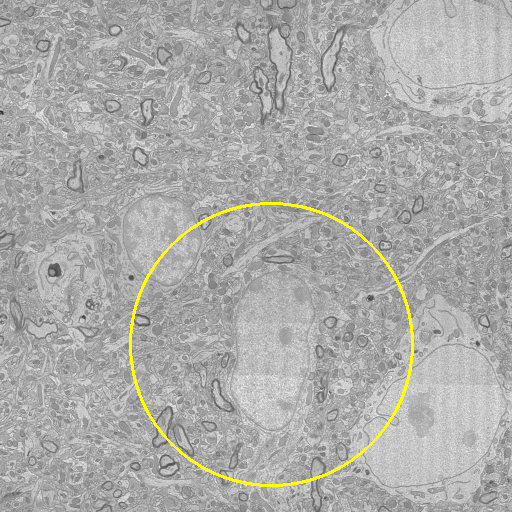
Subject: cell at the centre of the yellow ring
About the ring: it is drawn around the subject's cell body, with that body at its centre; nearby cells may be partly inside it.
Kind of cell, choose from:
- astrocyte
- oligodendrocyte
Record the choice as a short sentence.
The subject cell is an astrocyte.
